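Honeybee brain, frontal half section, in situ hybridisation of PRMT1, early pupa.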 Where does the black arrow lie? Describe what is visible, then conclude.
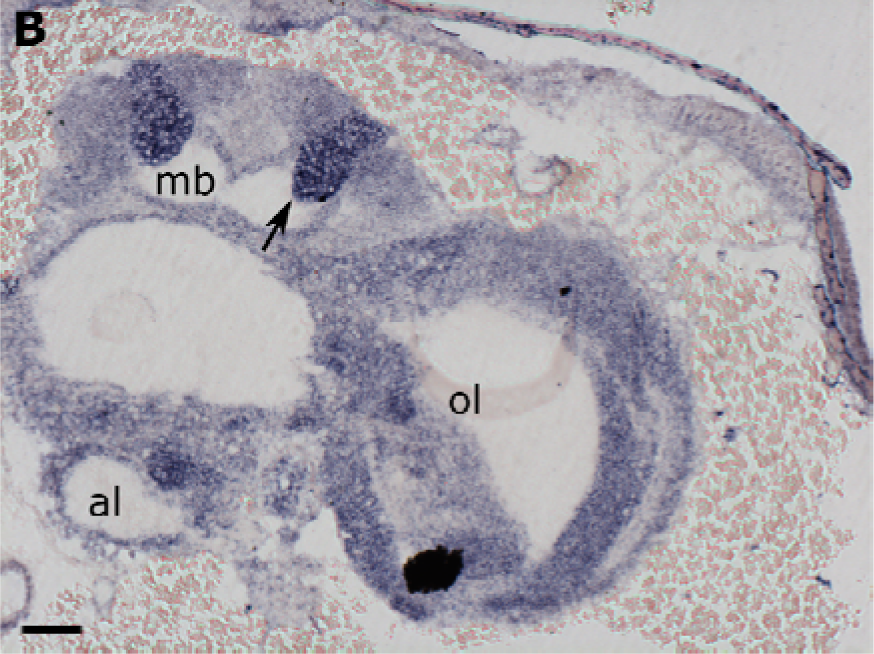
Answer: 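Neural precursor dividing regions. The arrow points to a compact, very darkly stained cluster of densely packed cells. The cluster sits at the inner centre of the cup-shaped mushroom body calyx.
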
